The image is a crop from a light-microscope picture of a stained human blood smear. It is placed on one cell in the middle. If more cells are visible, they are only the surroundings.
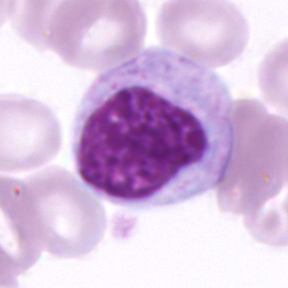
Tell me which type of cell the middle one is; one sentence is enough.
At the crop's centre, the cell is a metamyelocyte.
